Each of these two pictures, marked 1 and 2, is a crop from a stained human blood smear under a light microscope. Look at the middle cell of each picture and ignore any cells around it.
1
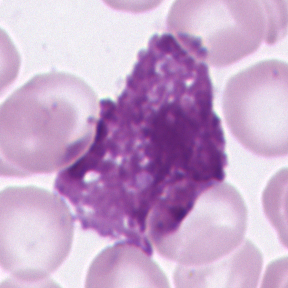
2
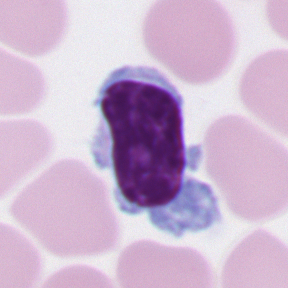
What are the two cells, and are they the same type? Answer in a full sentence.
No, crop 1 shows a smudge cell, and it is crop 2 that shows a typical lymphocyte.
